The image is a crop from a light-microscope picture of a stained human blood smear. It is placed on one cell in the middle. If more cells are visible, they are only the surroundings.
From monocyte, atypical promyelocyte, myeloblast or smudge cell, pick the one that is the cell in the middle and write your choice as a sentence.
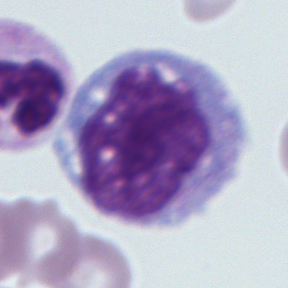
The cell at the heart of this crop is a monocyte.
